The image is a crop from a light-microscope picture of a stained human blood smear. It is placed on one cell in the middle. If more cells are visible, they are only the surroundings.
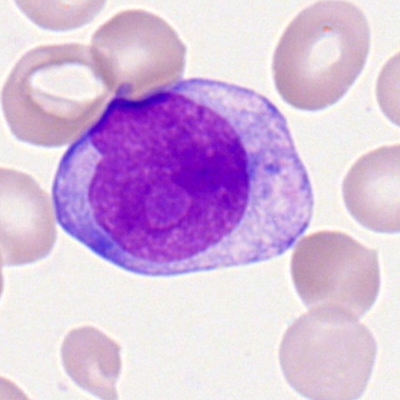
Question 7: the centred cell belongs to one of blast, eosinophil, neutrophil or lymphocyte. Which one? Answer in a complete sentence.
The cell marked by its central position in the crop is a blast.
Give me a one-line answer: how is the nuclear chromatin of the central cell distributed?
Its chromatin is finely dispersed rather than coarsely clumped.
